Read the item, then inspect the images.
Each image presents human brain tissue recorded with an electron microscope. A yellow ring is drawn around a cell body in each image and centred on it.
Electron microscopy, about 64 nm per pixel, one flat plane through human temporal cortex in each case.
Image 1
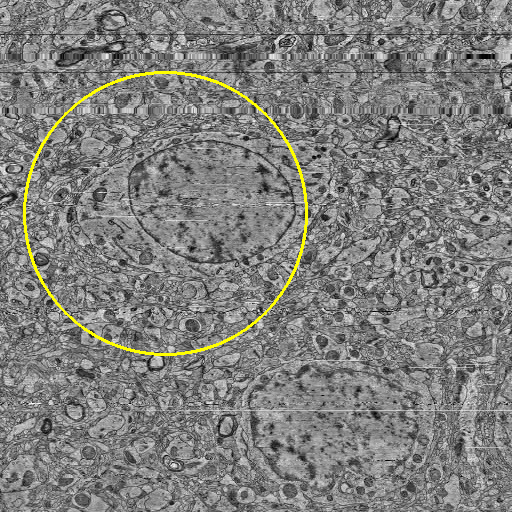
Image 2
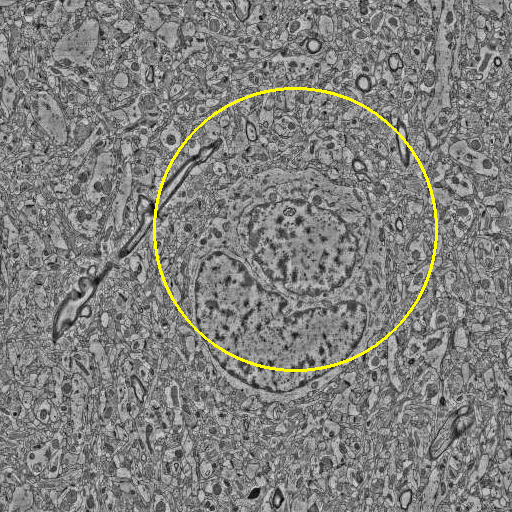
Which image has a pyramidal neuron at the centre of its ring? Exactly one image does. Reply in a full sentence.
The ring in Image 1 is centred on it.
